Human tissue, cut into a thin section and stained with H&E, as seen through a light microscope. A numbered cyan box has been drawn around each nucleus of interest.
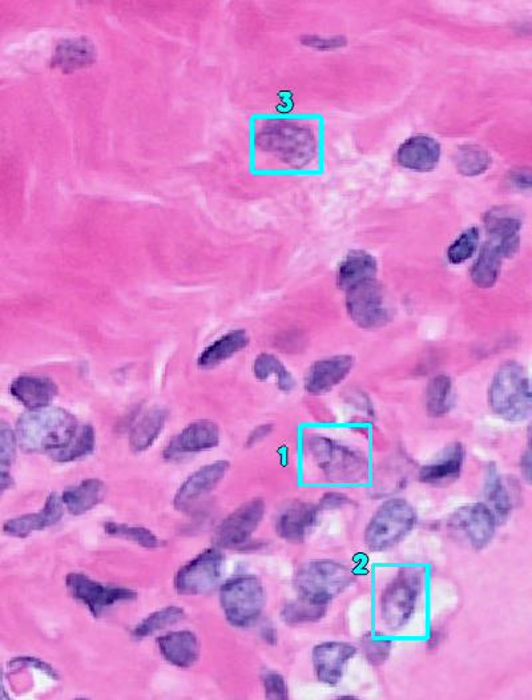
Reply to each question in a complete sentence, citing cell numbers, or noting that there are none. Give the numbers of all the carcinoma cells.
Just one numbered cell is a carcinoma cell, and that cell is number 2.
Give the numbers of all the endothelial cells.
Only at number 1 is there an endothelial cell among the marked cells.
